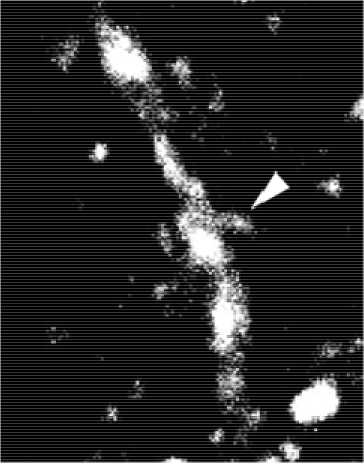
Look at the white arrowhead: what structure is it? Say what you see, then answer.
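The arrowhead points to a slender protrusion from the side of the dendrite. The protrusion lacks a large bulbous head. So: thin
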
